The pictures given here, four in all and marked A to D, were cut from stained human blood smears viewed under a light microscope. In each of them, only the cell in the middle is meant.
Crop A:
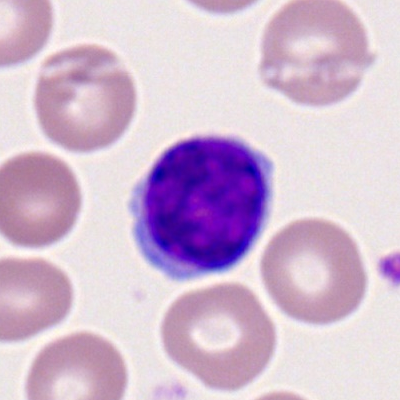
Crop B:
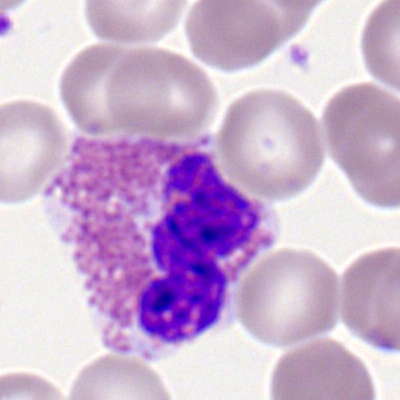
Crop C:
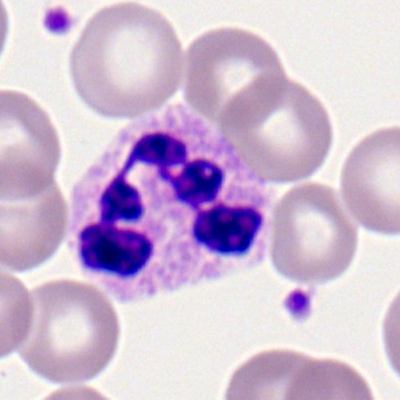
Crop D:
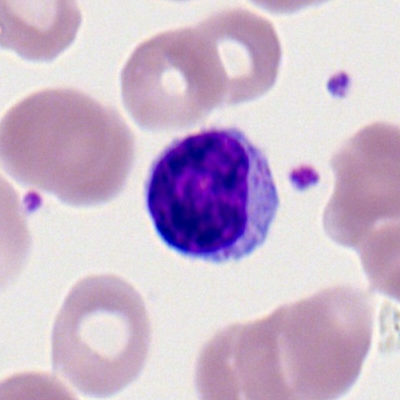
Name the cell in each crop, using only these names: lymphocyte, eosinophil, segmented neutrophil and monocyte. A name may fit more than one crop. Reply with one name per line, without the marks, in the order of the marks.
lymphocyte
eosinophil
segmented neutrophil
lymphocyte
